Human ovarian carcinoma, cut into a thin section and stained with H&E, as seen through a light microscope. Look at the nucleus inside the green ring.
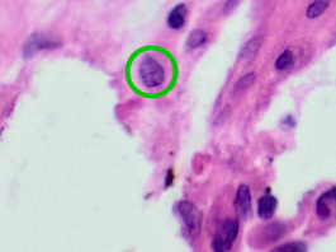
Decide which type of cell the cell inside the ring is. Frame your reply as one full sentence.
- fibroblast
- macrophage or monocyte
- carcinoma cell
The correct response here is that the cell inside the ring is a macrophage or monocyte.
